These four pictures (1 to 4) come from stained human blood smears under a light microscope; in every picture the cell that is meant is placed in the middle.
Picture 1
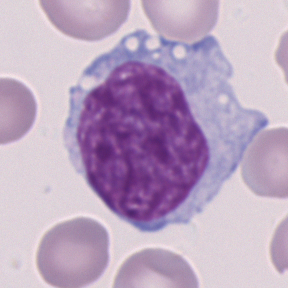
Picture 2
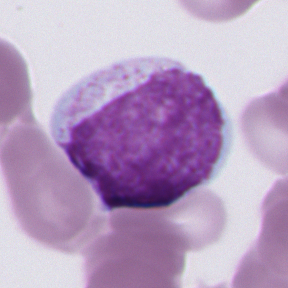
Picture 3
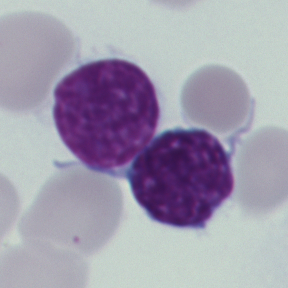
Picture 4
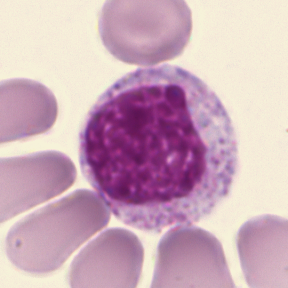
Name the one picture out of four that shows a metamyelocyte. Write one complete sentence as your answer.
The metamyelocyte is the one in picture 4.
